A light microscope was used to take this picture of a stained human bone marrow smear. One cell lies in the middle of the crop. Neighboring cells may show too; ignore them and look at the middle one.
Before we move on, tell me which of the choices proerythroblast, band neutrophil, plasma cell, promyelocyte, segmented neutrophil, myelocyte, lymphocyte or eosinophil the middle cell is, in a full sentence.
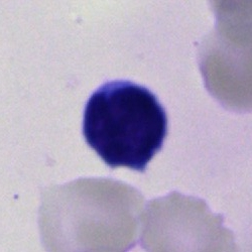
In the center of this field lies a lymphocyte.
